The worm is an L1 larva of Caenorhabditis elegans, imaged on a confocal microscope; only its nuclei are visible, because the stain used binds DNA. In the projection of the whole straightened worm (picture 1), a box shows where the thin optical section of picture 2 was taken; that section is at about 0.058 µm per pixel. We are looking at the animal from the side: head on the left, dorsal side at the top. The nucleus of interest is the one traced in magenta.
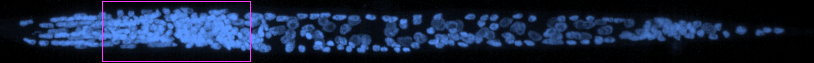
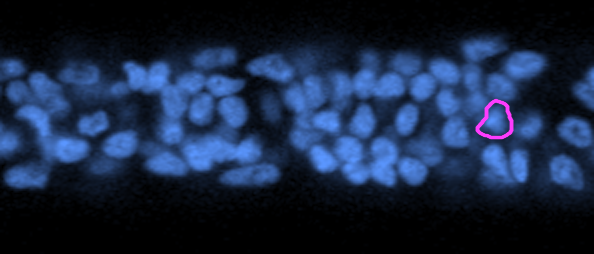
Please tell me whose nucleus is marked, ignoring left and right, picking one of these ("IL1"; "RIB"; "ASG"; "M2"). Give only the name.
M2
